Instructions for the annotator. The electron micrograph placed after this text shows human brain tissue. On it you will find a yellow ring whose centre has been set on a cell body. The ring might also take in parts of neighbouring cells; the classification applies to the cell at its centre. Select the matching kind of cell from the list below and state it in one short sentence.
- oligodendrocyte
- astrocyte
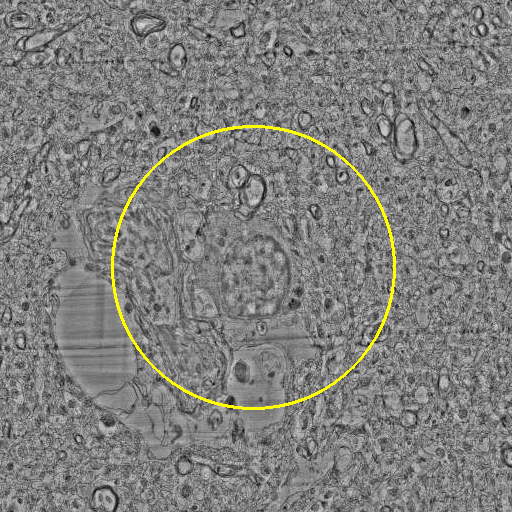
The ring is drawn on the cell body of an oligodendrocyte.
